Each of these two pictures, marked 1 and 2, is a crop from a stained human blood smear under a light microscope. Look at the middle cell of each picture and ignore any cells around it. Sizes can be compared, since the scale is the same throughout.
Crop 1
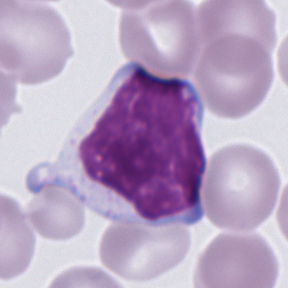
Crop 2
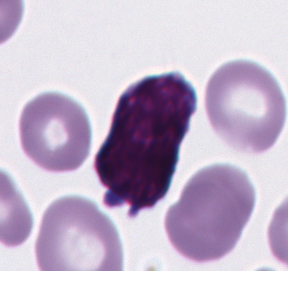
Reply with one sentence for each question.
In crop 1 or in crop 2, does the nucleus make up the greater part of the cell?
In crop 2 the nucleus takes up the larger part of its cell.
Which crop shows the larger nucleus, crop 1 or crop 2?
Larger is the nucleus in crop 1, at roughly 1.5 times the area of the other.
